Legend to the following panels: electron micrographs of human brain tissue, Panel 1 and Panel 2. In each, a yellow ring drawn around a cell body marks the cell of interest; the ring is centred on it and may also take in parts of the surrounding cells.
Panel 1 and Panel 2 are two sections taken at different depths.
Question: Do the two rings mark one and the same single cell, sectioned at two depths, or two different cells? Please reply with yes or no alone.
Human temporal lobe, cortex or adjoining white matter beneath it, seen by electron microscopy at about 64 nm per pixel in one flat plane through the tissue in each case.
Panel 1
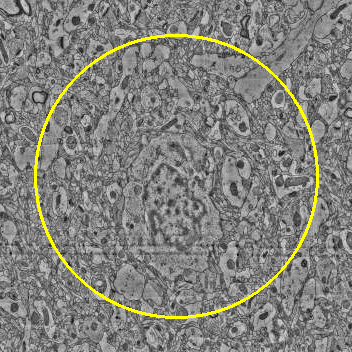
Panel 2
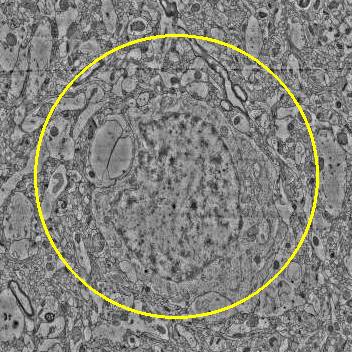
no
